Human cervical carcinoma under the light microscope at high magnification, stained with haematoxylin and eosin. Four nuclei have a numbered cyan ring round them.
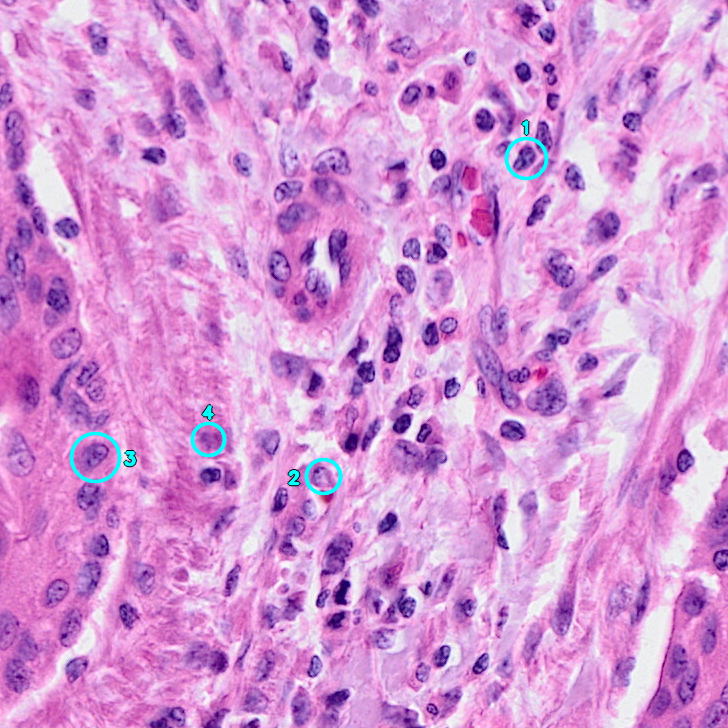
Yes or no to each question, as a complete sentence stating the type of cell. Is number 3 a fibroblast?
No, the cell identified by number 3 is a squamous carcinoma cell, not a fibroblast.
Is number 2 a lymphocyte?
No. Cell number 2 is an endothelial cell, not a lymphocyte.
